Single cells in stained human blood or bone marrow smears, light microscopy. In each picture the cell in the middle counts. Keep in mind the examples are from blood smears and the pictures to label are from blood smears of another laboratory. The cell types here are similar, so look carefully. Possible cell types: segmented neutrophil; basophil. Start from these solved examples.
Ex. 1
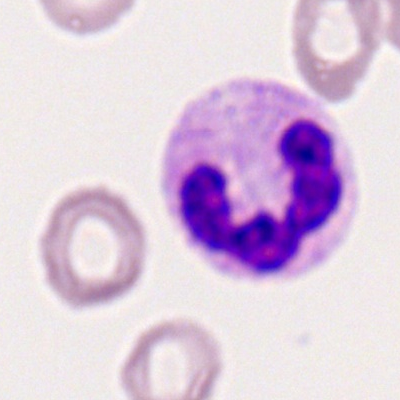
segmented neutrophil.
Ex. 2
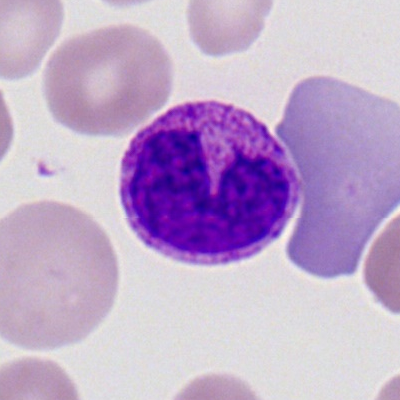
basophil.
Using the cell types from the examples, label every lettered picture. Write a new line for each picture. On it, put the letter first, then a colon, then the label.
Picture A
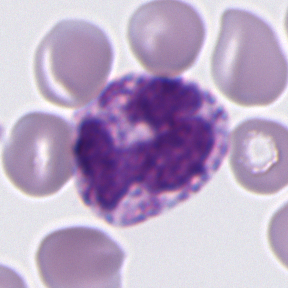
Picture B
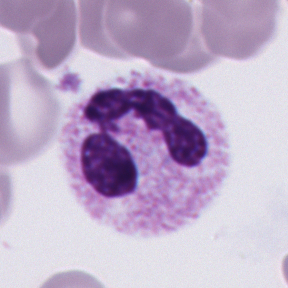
A: basophil.
B: segmented neutrophil.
